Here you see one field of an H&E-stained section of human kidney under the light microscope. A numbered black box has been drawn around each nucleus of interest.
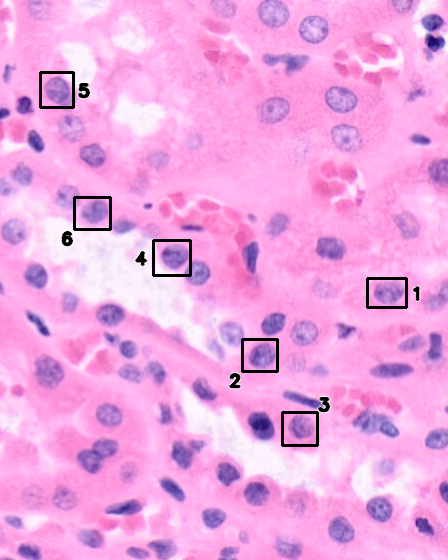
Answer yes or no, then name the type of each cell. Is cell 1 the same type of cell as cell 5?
Yes, both are proximal tubule cells.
